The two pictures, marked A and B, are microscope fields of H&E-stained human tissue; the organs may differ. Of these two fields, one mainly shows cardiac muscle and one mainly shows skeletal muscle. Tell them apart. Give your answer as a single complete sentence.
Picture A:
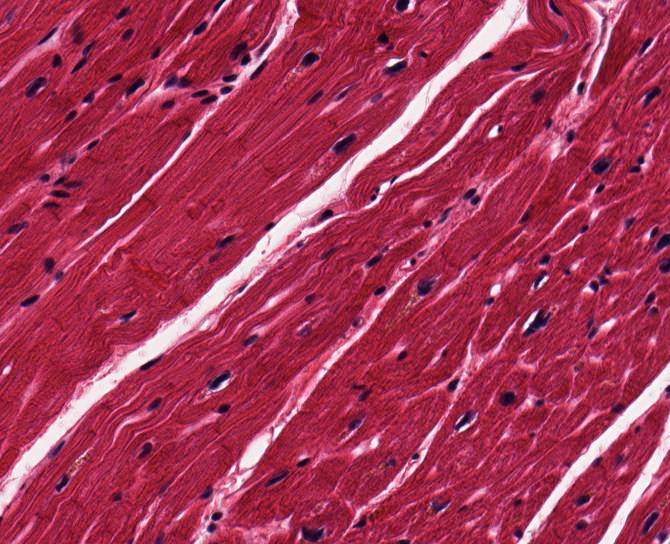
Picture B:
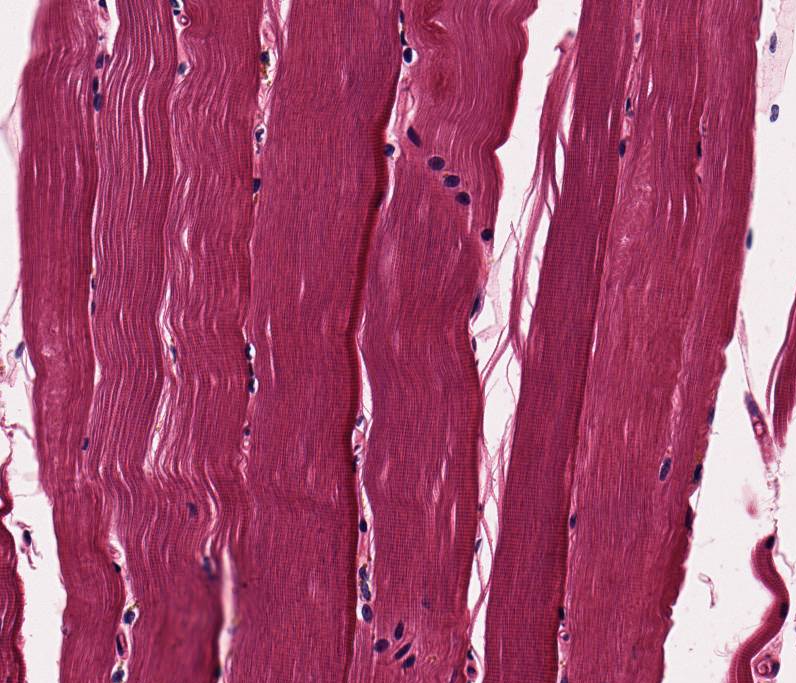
Picture A mainly shows cardiac muscle and picture B mainly shows skeletal muscle.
